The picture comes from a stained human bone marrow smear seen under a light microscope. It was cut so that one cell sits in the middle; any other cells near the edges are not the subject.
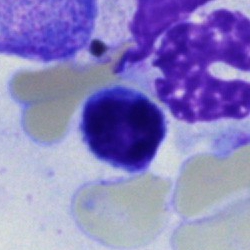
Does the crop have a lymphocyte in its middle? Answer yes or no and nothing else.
yes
